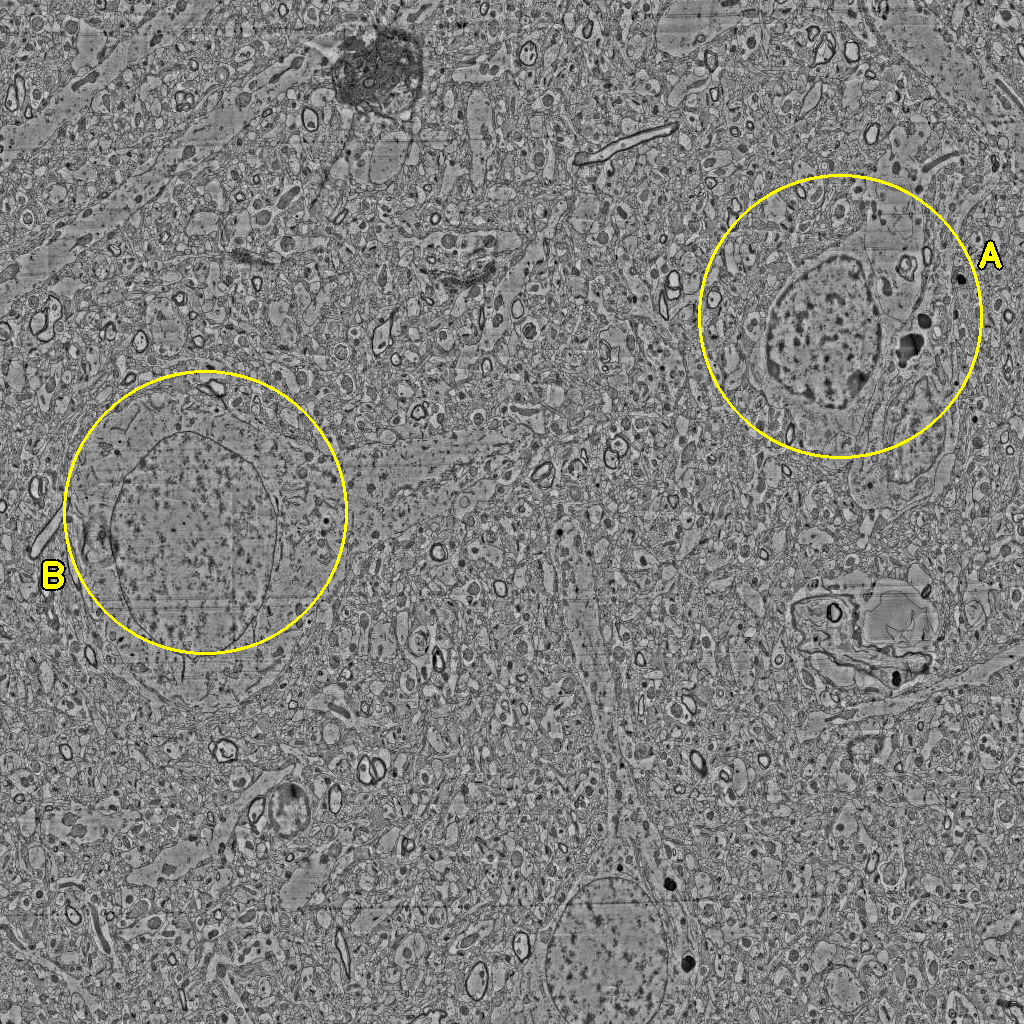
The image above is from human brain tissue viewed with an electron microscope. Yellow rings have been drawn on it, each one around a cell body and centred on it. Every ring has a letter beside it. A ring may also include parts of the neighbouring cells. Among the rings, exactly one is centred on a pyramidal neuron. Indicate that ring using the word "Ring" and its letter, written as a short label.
Ring B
